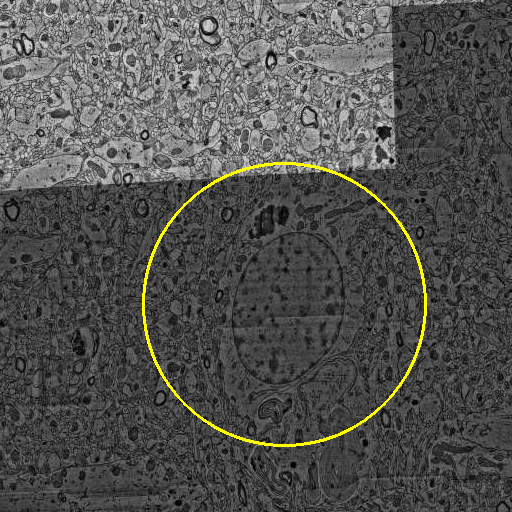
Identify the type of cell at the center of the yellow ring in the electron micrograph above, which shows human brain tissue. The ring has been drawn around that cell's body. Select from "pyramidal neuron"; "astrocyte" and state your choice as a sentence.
The yellow ring is centered on the body of an astrocyte.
